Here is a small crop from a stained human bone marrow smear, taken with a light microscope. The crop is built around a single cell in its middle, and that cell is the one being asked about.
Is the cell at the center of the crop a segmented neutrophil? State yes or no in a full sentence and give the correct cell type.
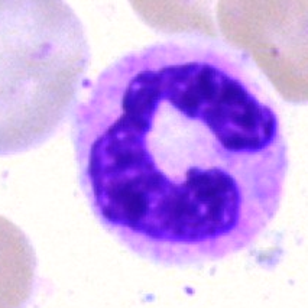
Yes, a segmented neutrophil is the cell positioned in the middle of the field.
